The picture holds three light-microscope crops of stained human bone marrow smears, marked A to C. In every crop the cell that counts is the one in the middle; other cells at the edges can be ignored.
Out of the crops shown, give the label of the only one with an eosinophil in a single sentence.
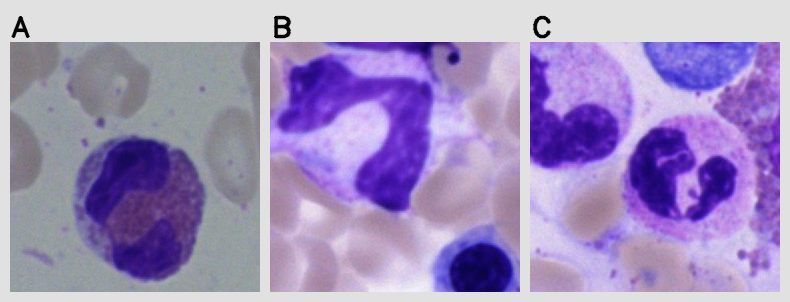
The one showing an eosinophil is the crop labelled A.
